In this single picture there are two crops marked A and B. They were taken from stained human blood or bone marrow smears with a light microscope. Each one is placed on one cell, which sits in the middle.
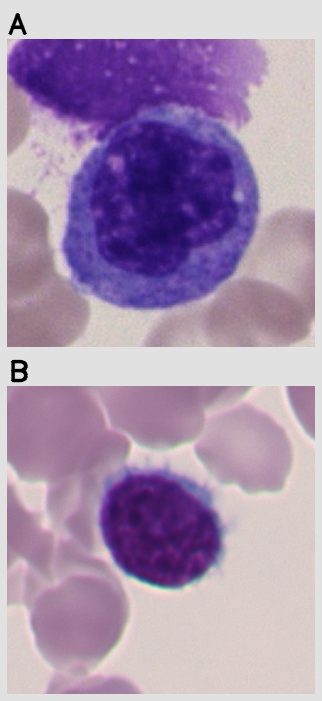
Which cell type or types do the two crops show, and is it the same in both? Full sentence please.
No, a hairy cell is the cell in crop B, and crop A contains a monocyte.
